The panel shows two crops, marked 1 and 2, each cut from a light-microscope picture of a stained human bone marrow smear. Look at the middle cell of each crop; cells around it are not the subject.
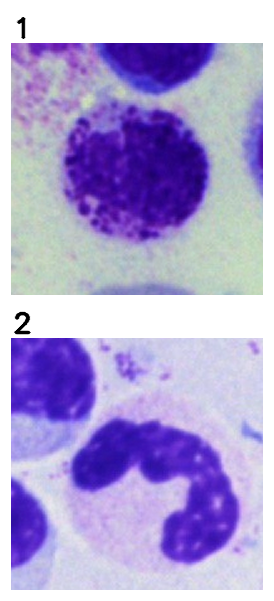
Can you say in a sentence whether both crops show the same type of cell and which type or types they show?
No, while a basophil is found in crop 1, a segmented neutrophil is found in crop 2.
